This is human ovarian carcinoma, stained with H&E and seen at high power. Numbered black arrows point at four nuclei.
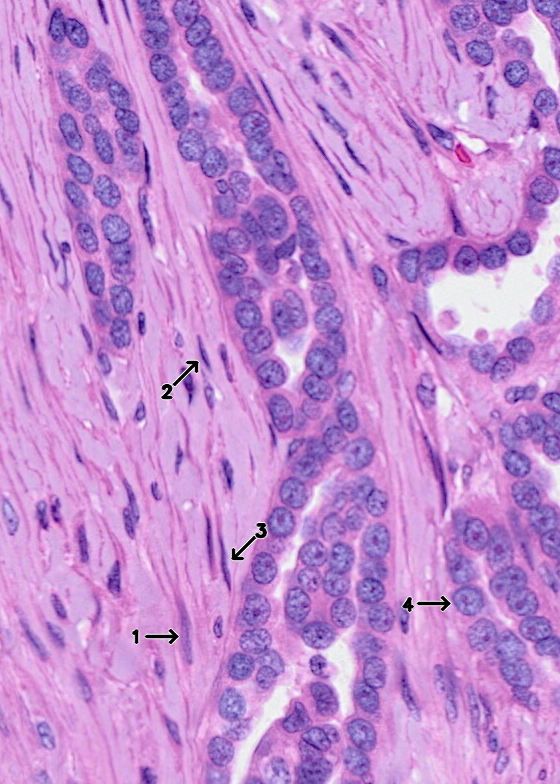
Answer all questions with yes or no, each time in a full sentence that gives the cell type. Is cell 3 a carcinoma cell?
No, cell 3 is not a carcinoma cell; it is a fibroblast.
